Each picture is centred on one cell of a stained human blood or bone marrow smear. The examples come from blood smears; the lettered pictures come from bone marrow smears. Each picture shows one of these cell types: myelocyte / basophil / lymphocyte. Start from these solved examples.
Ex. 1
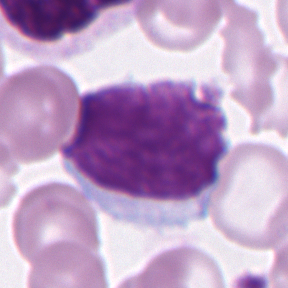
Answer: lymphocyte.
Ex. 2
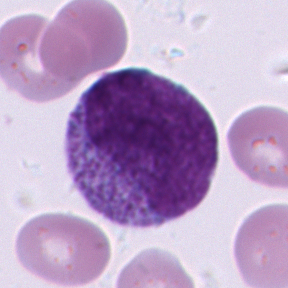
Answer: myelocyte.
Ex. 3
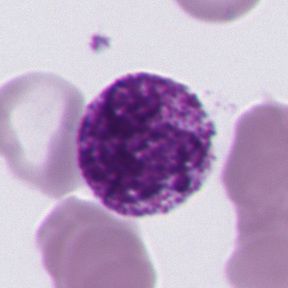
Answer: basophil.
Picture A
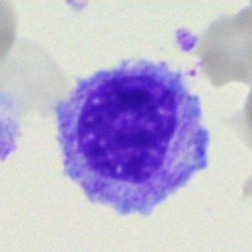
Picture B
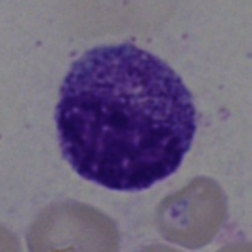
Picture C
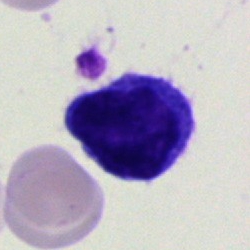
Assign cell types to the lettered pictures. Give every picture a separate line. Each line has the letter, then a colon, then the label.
A: myelocyte.
B: myelocyte.
C: lymphocyte.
